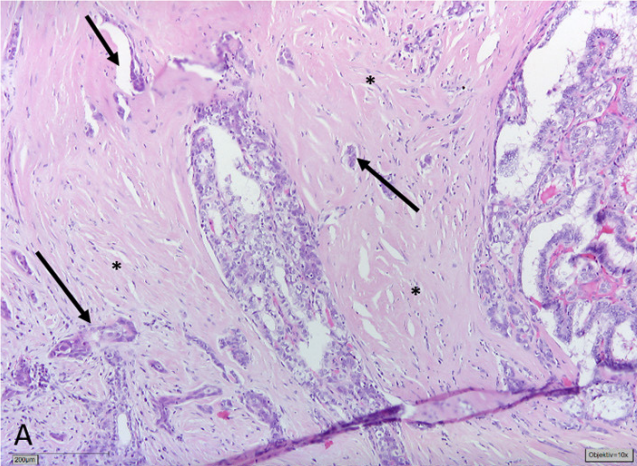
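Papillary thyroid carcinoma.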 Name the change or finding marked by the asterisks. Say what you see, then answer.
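Broad pink fibrous stroma with few scattered spindle nuclei. Stroma separates the epithelial tumor structures. That points to this answer: stromal desmoplasia.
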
